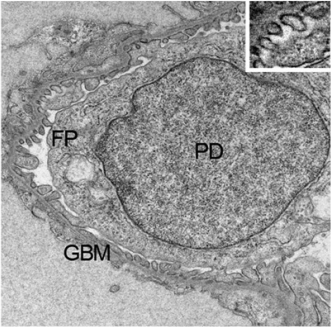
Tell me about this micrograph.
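A large, rounded nucleus with finely granular chromatin and a sharp nuclear envelope fills much of the right side of the cell. To the left, the thin cytoplasm gives rise to slender processes that rest on a continuous dark basement membrane lining the capillary. The inset shows these processes cut in cross-section as a row of small, evenly spaced feet along the membrane.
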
